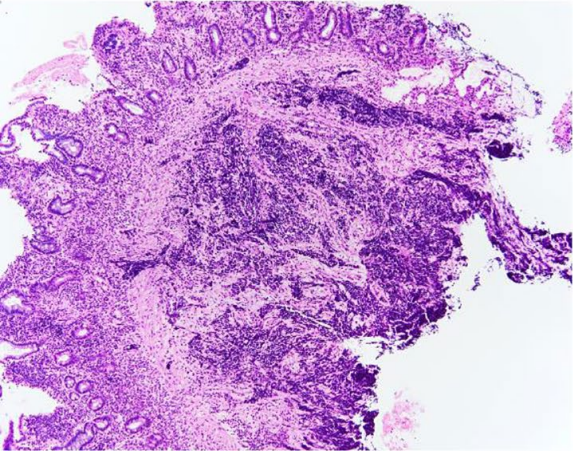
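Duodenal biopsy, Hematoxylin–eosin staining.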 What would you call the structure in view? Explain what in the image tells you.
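Nests and sheets. Densely packed dark-staining cells form solid confluent areas. Pink fibrous strands divide the cells into irregular clusters.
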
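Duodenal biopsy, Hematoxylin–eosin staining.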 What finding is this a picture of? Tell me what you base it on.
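Sub-epithelial lesion. A dense, dark purple cellular mass lies beneath the mucosa. Intestinal crypts and glands line the surface above and beside the mass. The mass is separated from the surface glands by pink stroma.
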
